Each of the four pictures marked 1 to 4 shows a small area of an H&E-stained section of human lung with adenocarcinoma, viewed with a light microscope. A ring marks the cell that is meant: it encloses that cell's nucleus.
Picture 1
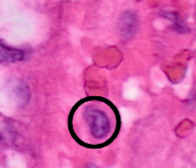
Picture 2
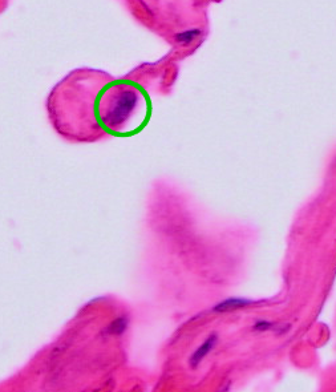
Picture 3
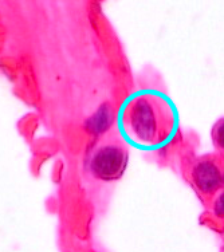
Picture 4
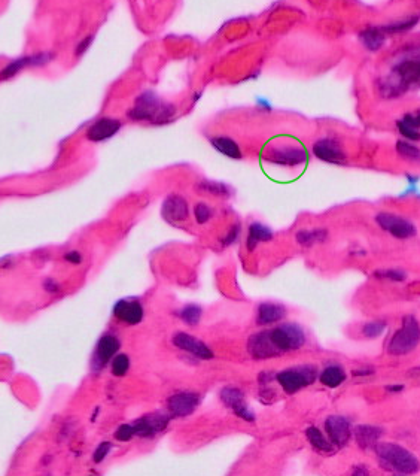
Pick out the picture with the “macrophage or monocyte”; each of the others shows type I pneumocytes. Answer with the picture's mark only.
1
